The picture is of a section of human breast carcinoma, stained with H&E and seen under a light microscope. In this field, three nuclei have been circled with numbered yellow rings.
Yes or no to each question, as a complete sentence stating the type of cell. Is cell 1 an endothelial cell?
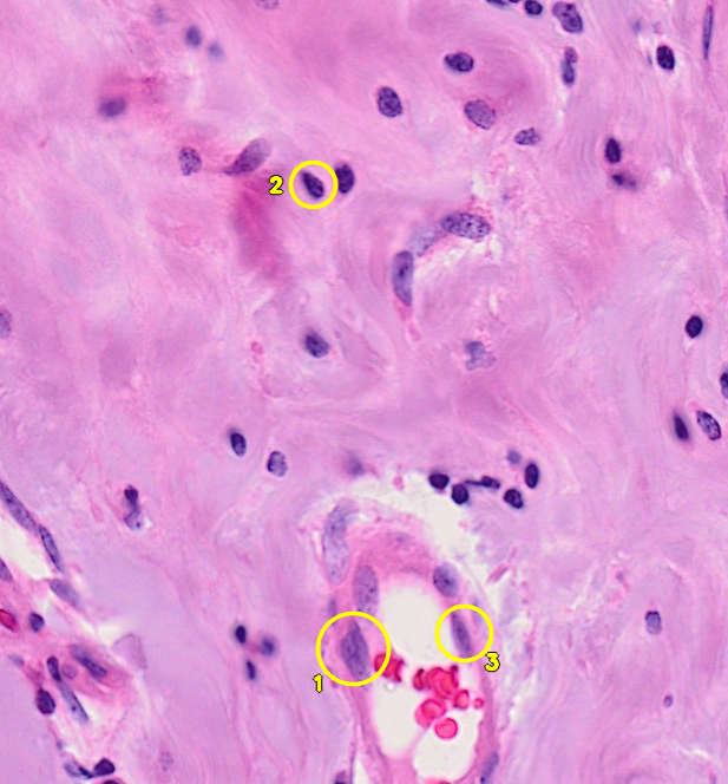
Yes, it checks out; the cell labelled 1 is an endothelial cell.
